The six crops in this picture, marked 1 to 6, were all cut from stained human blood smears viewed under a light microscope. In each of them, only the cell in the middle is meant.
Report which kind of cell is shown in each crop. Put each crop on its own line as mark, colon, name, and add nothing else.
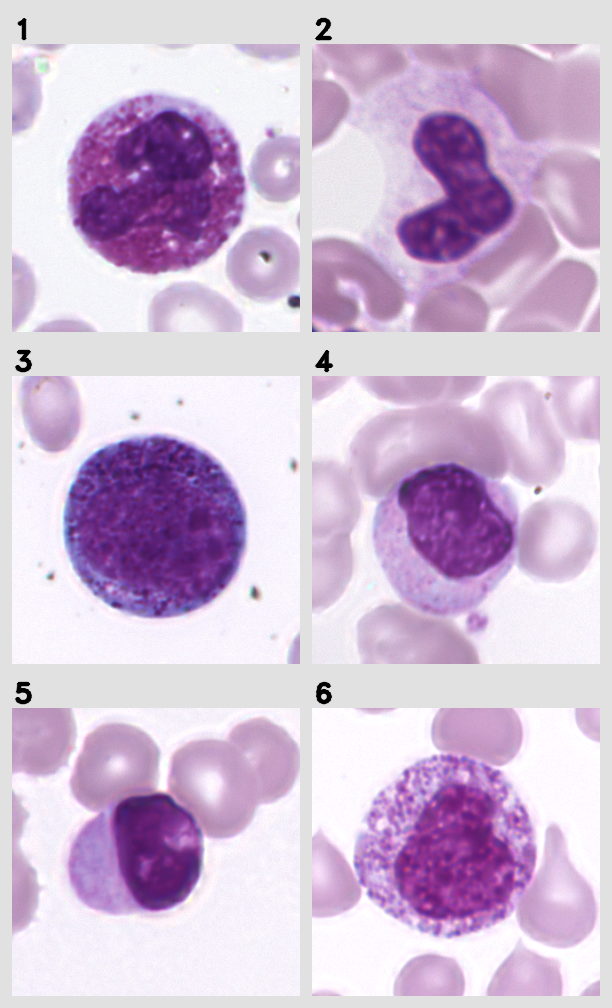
1: eosinophil
2: band neutrophil
3: promyelocyte
4: myelocyte
5: plasma cell
6: myelocyte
